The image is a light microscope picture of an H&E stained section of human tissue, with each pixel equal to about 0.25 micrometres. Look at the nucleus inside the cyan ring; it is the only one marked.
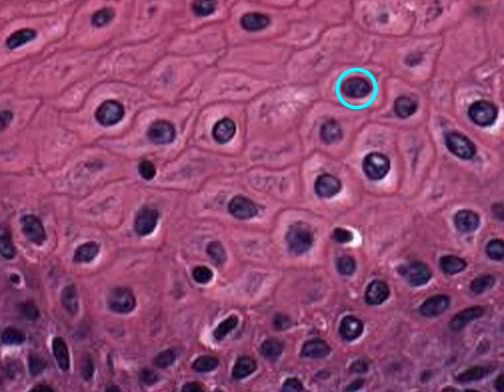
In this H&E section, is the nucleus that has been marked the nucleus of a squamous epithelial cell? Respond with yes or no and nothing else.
yes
